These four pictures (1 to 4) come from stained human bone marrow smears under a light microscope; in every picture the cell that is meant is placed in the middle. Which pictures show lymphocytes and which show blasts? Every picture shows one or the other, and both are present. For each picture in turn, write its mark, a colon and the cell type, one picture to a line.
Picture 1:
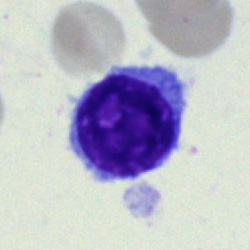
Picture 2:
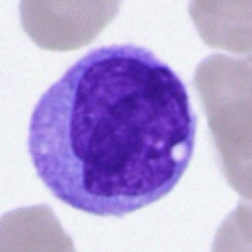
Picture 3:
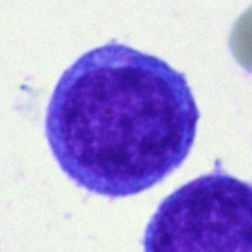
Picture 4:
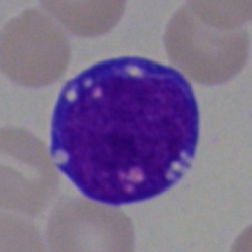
1: lymphocyte
2: blast
3: blast
4: blast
